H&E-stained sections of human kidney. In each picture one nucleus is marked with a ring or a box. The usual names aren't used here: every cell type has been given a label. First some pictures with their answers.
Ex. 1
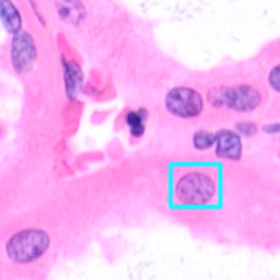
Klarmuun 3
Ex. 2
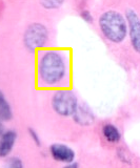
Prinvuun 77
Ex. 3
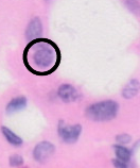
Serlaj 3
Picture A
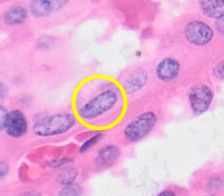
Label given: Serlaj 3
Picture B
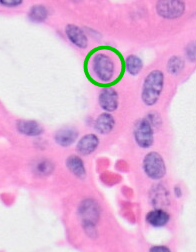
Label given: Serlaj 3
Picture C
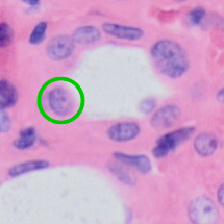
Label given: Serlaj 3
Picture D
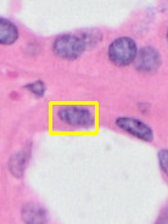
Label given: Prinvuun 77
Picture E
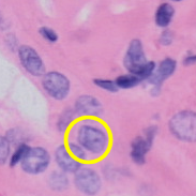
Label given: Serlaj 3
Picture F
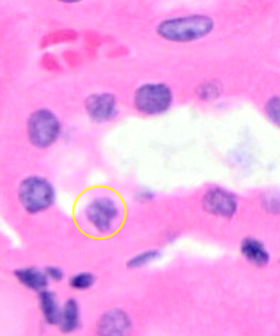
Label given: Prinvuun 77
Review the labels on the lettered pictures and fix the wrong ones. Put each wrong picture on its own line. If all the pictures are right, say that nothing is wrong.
Every label is right.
